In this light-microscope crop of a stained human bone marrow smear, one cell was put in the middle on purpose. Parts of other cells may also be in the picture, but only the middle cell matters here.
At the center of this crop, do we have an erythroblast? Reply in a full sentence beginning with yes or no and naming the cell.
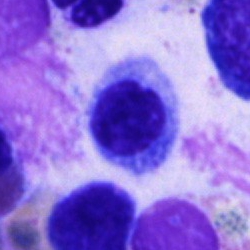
Yes, the cell in the exact middle is an erythroblast.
